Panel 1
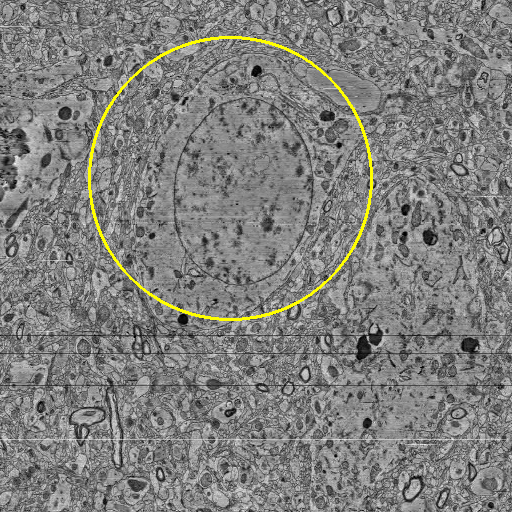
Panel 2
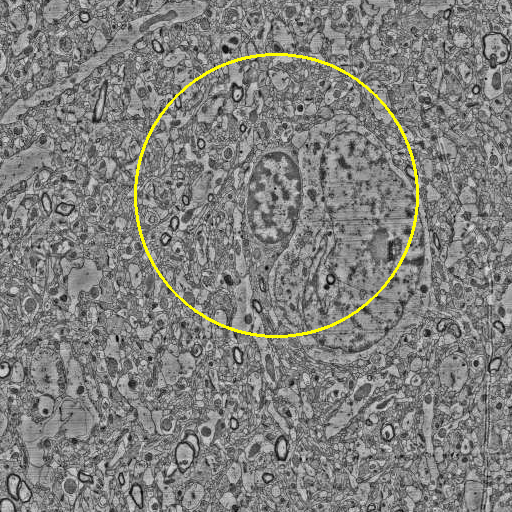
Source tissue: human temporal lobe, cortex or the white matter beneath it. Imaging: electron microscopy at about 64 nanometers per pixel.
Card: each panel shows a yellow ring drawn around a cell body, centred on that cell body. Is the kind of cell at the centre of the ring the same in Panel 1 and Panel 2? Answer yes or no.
no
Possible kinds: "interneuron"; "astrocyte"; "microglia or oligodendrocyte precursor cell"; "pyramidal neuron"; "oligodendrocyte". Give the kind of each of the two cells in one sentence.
The cell in the second picture is an oligodendrocyte, and that in the first is a pyramidal neuron.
